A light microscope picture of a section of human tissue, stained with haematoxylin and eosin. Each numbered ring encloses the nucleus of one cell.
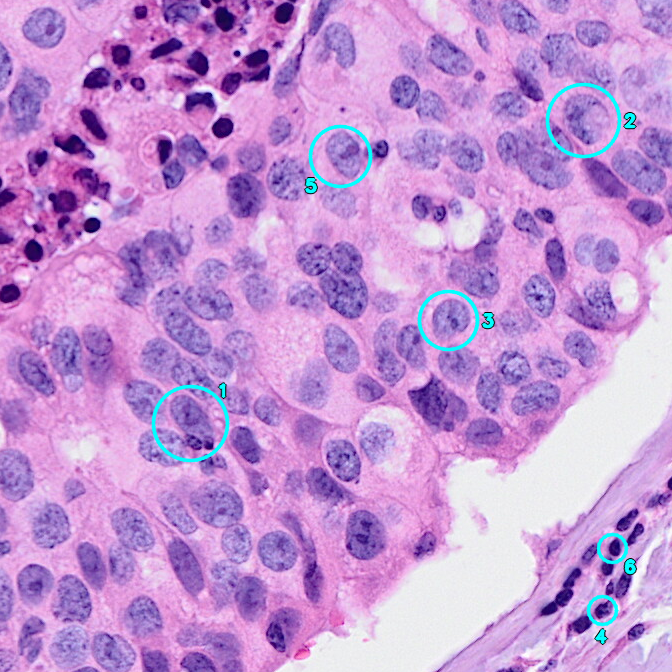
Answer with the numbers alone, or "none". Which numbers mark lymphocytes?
4, 6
